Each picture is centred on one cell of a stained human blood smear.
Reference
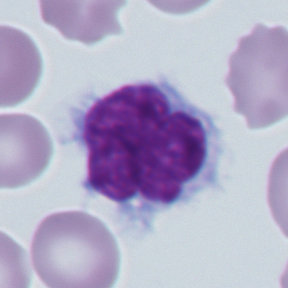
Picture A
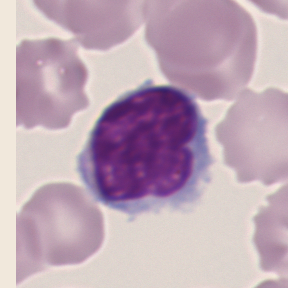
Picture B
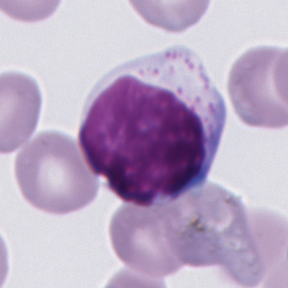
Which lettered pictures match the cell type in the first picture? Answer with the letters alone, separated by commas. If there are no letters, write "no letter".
A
